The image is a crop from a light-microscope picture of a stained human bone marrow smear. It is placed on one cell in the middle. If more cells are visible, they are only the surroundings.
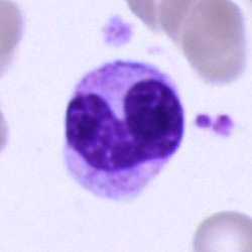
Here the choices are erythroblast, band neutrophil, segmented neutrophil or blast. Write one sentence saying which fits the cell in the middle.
The cell centered in this field of view is a band neutrophil.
